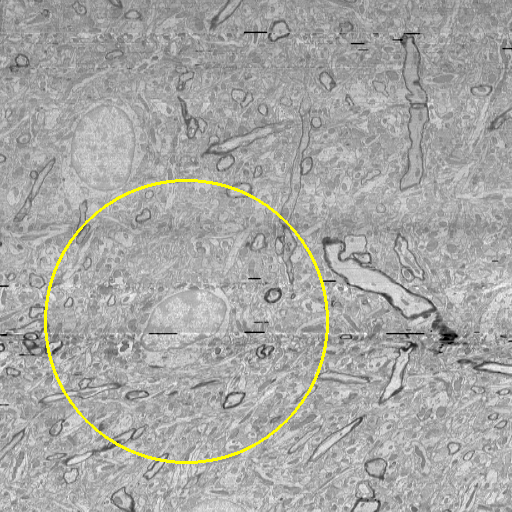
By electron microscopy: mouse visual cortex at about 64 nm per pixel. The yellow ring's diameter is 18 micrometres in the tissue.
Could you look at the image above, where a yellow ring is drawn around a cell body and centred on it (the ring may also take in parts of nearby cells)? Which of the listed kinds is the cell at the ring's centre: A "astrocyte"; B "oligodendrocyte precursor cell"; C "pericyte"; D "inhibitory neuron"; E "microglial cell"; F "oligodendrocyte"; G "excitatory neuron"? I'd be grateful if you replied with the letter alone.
F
